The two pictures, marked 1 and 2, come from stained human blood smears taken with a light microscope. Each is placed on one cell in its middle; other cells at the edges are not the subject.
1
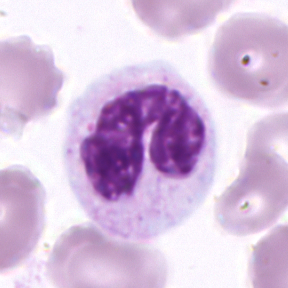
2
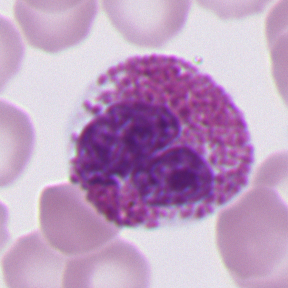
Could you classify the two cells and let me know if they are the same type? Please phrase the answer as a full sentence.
No, it is in crop 1 that a band neutrophil is shown, and in crop 2 that an eosinophil is shown.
